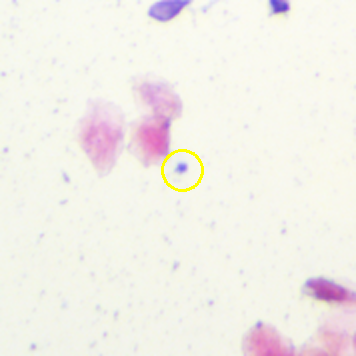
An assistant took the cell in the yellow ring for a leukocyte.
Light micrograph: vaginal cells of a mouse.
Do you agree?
I agree, it is a leukocyte.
